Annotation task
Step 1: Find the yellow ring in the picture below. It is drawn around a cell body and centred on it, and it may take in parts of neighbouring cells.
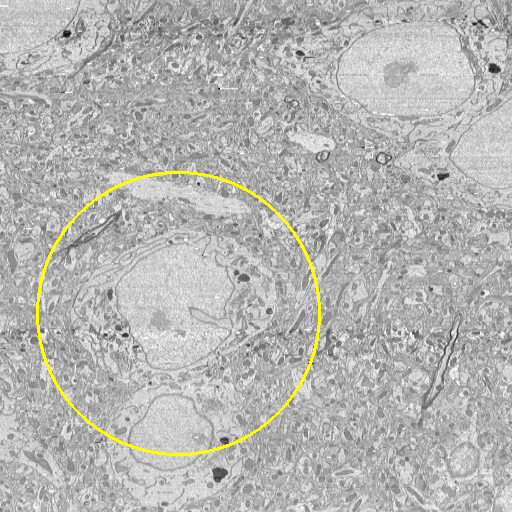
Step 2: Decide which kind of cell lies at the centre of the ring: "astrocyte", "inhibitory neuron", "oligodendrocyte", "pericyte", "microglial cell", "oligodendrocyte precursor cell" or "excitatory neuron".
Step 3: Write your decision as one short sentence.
The kind of cell at the ring's centre is an inhibitory neuron.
